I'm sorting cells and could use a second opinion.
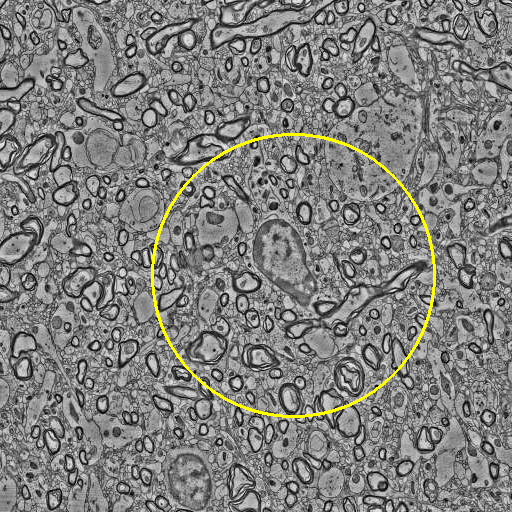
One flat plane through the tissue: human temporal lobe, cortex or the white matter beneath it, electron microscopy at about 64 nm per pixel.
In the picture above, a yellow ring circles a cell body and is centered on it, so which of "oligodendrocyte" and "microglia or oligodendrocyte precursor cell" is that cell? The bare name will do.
microglia or oligodendrocyte precursor cell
